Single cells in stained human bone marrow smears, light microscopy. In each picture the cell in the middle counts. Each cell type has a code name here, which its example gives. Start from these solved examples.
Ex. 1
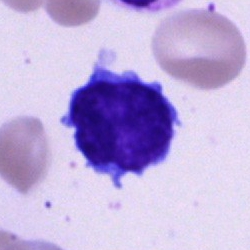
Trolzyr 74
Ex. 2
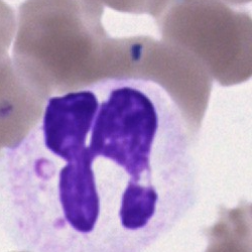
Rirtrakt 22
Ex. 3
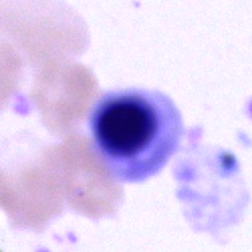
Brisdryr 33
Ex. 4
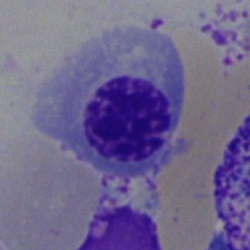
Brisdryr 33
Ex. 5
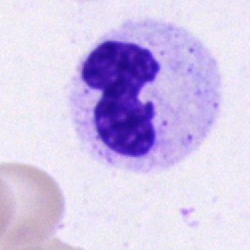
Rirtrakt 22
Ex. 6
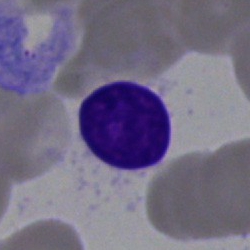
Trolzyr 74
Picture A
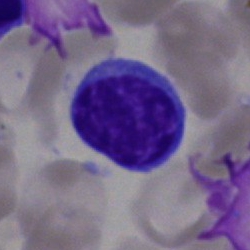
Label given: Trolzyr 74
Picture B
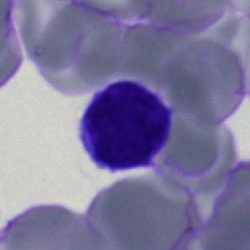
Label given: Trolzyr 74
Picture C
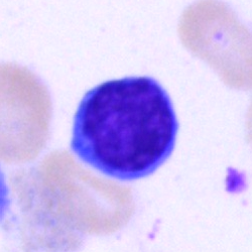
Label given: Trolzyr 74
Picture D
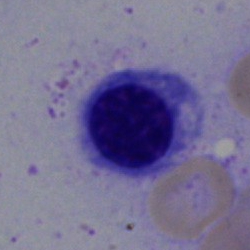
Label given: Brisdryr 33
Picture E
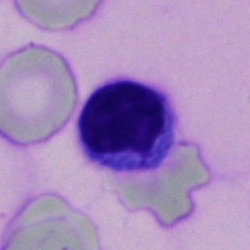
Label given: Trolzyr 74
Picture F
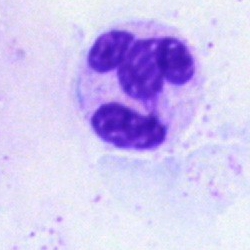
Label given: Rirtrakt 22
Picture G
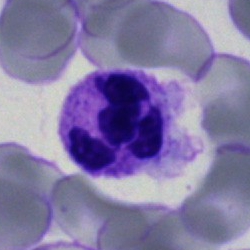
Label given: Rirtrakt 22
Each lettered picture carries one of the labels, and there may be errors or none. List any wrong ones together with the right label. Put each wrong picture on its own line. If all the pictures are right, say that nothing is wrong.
No label is wrong.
